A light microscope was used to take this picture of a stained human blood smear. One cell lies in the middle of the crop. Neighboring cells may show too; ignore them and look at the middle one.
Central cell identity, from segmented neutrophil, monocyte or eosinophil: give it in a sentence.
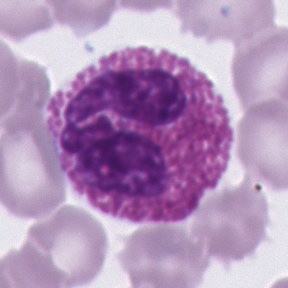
Classification of the middle cell gives an eosinophil.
